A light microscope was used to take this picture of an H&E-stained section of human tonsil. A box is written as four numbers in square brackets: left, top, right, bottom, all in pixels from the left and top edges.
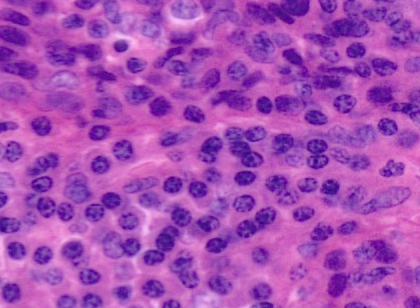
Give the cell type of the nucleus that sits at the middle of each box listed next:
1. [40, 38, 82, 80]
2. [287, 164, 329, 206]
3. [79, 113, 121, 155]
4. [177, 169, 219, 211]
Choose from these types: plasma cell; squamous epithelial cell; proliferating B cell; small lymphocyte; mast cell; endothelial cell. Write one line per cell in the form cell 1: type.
cell 1: squamous epithelial cell
cell 2: plasma cell
cell 3: plasma cell
cell 4: plasma cell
